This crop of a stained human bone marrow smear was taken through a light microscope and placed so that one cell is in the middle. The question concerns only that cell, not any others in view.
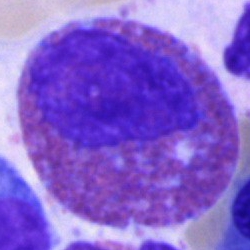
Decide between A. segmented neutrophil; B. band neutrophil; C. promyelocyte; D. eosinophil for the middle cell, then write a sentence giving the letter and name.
What sits in the middle of the crop is an eosinophil, and option D is correct.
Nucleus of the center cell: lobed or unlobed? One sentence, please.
Round, oval or kidney-shaped, the nucleus is one compact mass.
